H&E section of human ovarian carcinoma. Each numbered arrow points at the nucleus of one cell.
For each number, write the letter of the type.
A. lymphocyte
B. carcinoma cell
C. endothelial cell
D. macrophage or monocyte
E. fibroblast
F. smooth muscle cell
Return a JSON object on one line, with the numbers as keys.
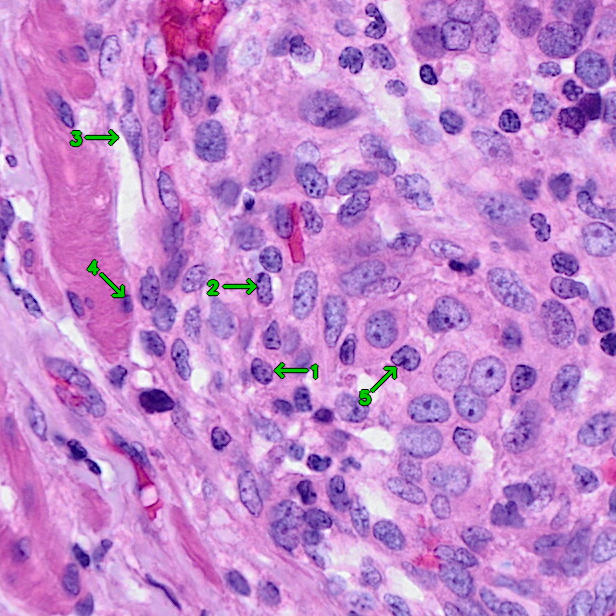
{"1": "D", "2": "D", "3": "C", "4": "F", "5": "D"}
